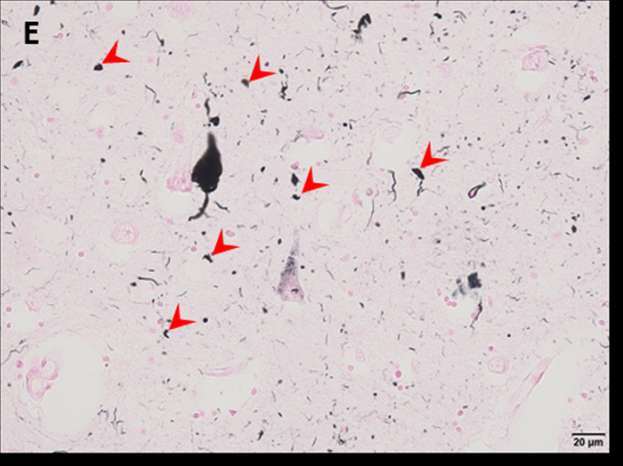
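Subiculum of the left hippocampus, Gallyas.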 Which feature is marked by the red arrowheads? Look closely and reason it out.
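Argyrophilic grains. Small black rod- and comma-shaped deposits lie scattered in the pale pink neuropil. The deposits are far smaller than the neuronal cell bodies nearby.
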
